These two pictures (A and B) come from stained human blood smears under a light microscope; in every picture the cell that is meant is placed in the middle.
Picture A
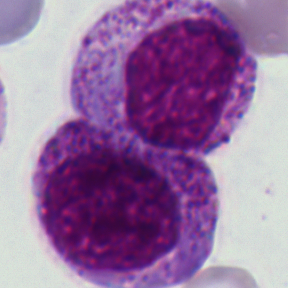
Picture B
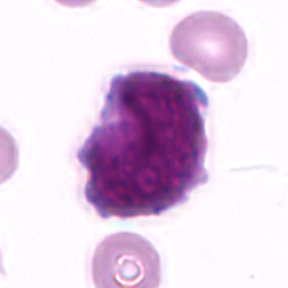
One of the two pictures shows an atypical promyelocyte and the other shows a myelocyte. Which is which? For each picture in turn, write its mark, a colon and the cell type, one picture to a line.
A: myelocyte
B: atypical promyelocyte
